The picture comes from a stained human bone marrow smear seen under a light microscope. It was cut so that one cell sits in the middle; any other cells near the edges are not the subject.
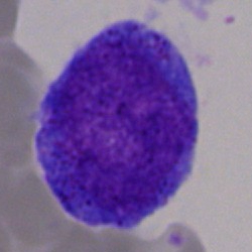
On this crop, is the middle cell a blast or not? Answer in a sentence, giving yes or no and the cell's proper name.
No, at the middle of the crop is a promyelocyte, not a blast.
